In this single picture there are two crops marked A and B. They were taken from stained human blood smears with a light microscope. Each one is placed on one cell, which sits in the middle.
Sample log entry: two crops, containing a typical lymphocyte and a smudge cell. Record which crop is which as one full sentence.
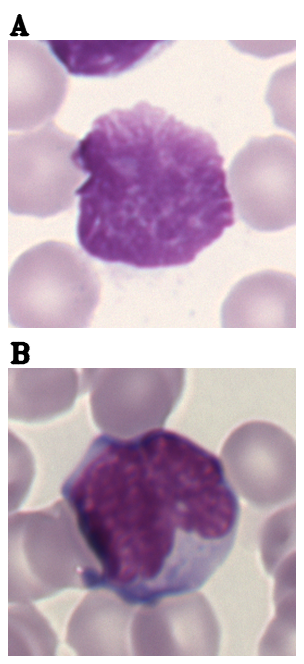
Here crop A is a smudge cell, and crop B is a typical lymphocyte.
